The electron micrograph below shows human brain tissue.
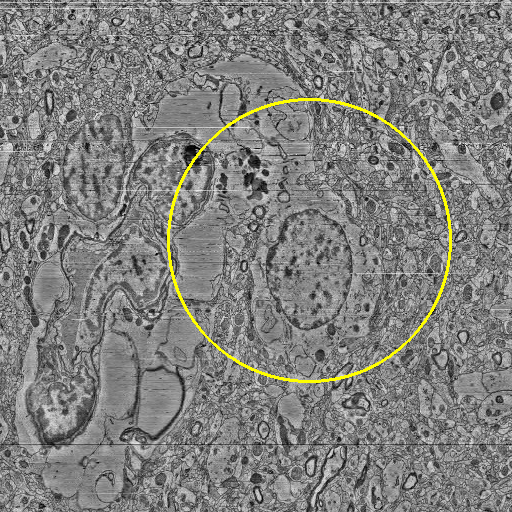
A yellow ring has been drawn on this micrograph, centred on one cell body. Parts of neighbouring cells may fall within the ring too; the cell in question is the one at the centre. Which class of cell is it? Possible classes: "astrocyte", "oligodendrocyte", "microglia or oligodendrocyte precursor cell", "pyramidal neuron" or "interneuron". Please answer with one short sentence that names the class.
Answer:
In the centre of the ring sits an astrocyte.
